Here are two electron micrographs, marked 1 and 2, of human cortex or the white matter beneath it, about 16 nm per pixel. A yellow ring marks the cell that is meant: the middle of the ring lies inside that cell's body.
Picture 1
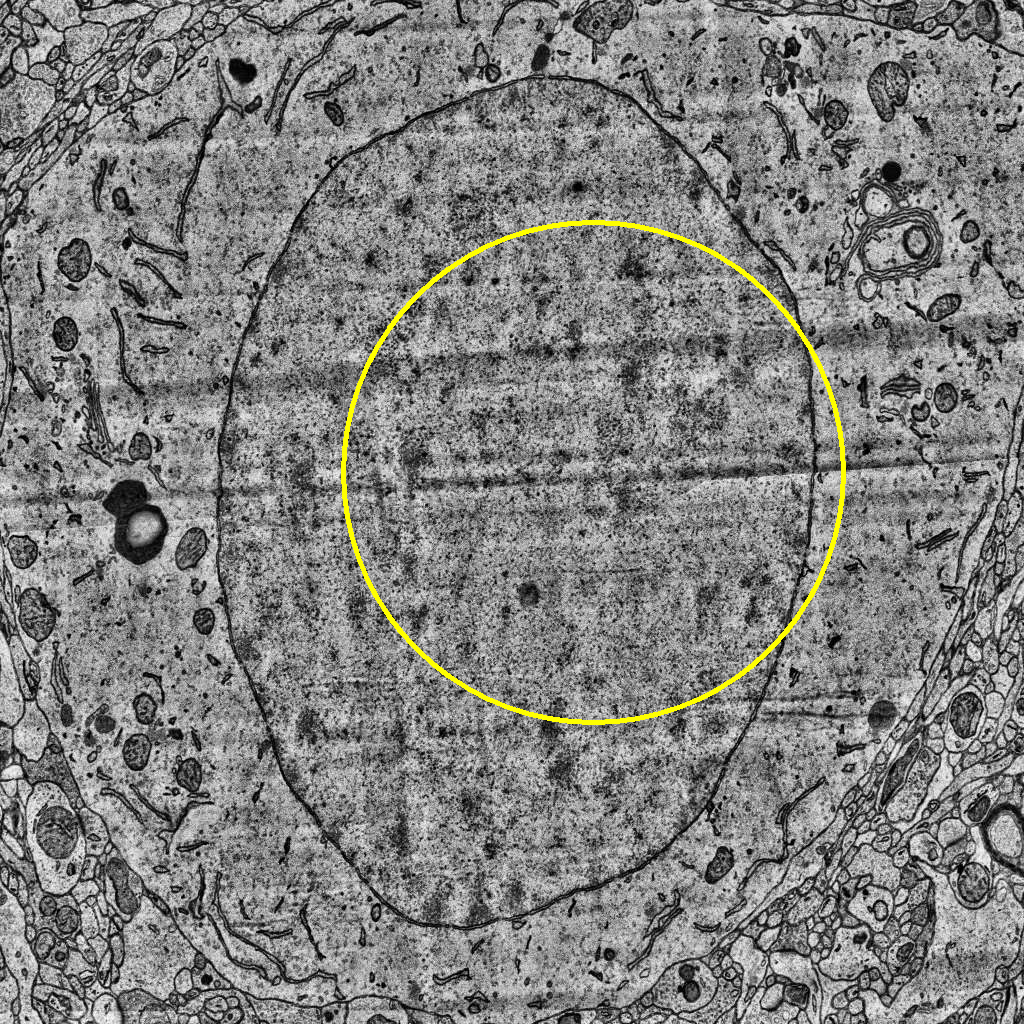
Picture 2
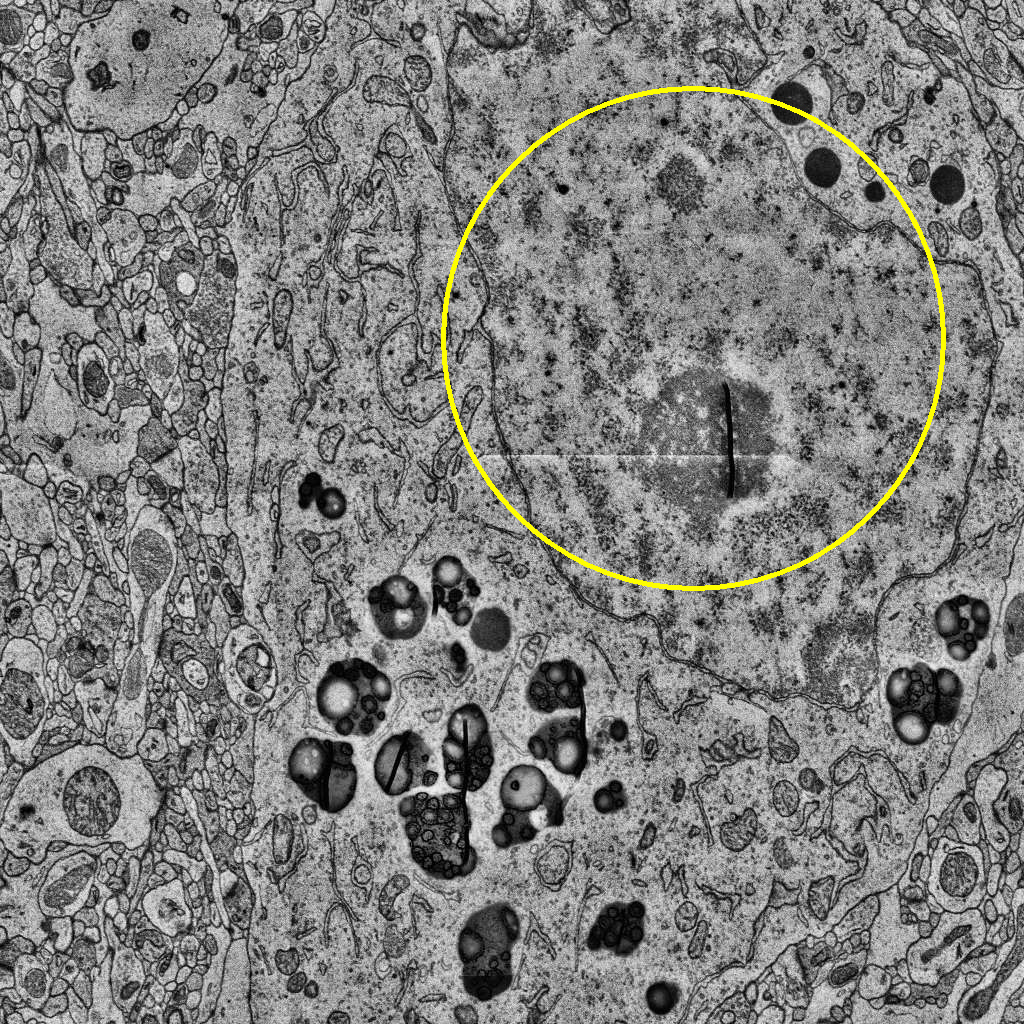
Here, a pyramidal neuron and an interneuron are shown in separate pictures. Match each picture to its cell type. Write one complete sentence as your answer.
It is picture 1 that shows a pyramidal neuron, and picture 2 that shows an interneuron.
